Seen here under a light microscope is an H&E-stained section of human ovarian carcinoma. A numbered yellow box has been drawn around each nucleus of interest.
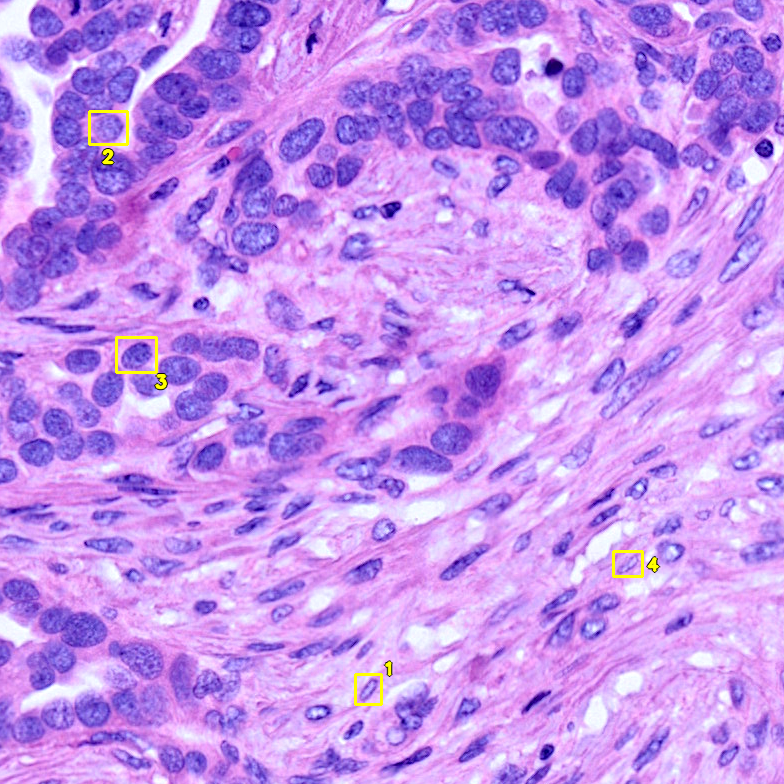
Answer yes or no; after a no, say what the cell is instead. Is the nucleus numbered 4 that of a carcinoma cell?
No, it is a fibroblast.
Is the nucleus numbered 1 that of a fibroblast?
Yes.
